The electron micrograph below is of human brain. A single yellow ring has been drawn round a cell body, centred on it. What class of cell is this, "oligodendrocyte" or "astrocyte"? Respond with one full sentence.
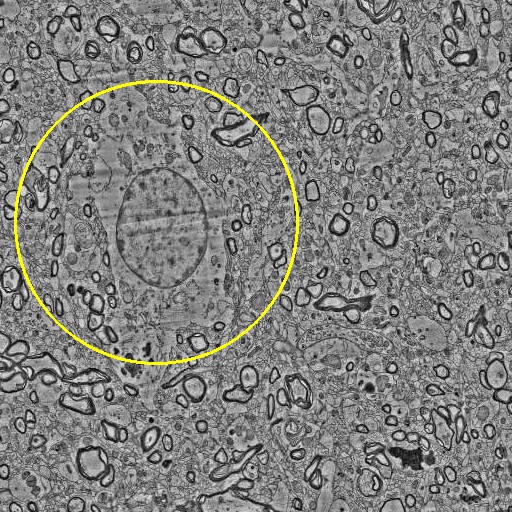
In the micrograph, the cell centred inside the yellow ring is an astrocyte.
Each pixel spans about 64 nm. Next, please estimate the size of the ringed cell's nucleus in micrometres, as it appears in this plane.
In this plane, approximately 8 by 6 micrometers.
